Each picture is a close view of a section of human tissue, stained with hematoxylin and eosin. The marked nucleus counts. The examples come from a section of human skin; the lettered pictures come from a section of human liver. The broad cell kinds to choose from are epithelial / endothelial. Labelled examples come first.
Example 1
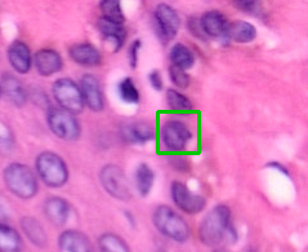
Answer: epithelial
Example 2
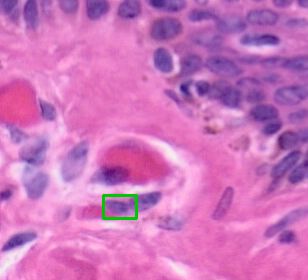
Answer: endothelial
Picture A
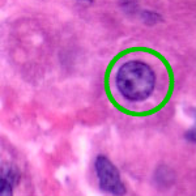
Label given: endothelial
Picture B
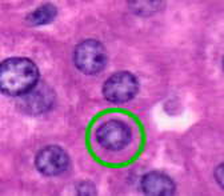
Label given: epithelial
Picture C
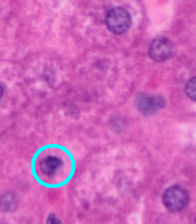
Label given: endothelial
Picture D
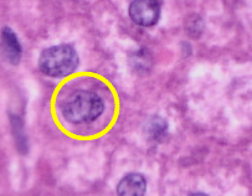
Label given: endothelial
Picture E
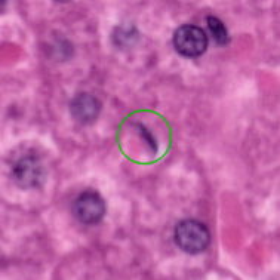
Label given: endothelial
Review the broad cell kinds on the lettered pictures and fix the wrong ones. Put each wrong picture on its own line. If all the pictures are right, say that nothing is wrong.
Wrong: A (endothelial); correct: epithelial
Wrong: D (endothelial); correct: epithelial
